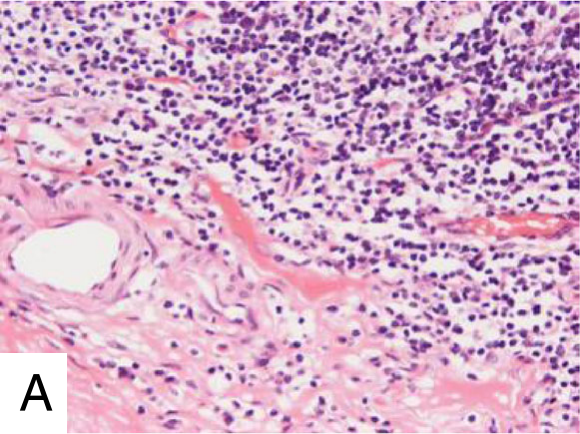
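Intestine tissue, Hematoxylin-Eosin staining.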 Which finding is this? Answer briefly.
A: infiltration of lymphocytes and plasma cells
